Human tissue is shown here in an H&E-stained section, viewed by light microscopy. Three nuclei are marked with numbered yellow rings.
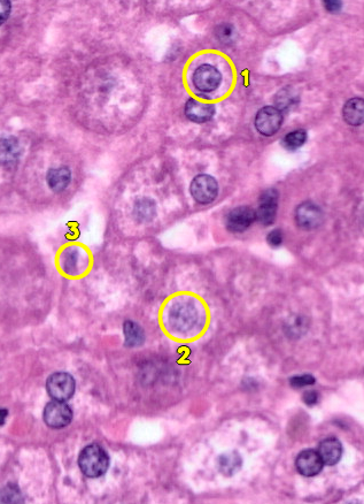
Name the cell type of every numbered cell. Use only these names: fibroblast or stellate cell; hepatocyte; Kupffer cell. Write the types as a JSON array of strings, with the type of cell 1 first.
["hepatocyte", "hepatocyte", "Kupffer cell"]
